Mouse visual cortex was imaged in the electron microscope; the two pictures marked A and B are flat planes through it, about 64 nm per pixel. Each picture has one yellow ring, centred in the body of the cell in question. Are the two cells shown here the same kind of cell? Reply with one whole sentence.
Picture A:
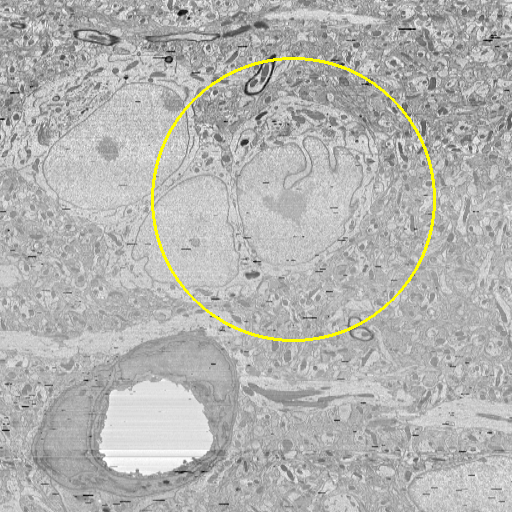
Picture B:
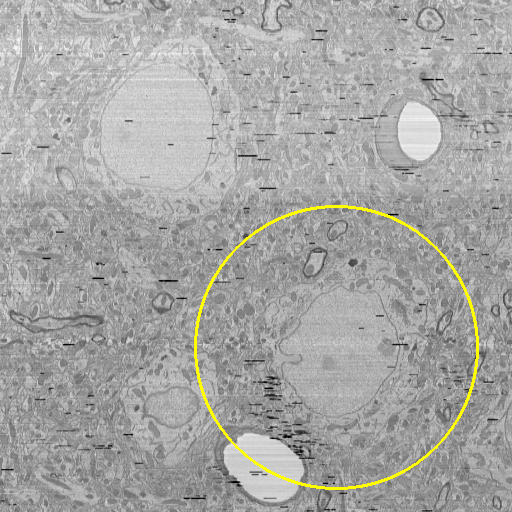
No, they differ: the cell is an inhibitory neuron in picture A and an excitatory neuron in picture B.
